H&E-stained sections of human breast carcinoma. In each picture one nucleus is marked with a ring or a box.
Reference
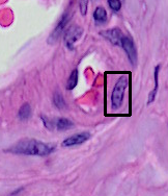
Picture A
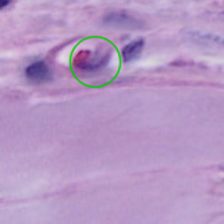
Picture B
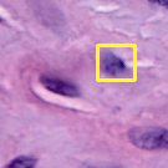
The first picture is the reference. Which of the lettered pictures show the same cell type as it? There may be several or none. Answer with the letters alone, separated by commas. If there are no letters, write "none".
A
